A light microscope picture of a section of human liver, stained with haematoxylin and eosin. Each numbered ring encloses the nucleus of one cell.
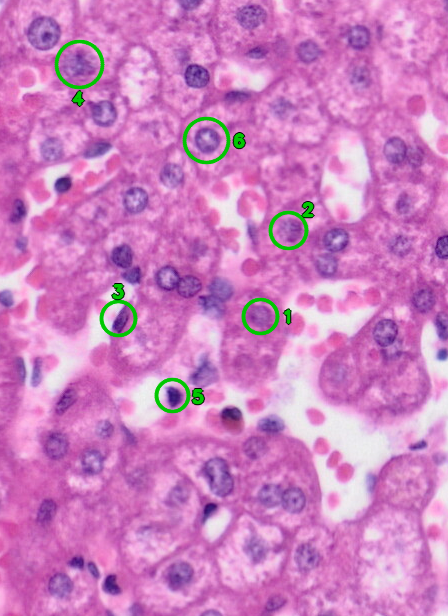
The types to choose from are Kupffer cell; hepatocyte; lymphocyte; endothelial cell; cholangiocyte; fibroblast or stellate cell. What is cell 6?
hepatocyte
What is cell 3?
Kupffer cell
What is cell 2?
hepatocyte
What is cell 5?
lymphocyte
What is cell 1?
hepatocyte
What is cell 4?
hepatocyte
